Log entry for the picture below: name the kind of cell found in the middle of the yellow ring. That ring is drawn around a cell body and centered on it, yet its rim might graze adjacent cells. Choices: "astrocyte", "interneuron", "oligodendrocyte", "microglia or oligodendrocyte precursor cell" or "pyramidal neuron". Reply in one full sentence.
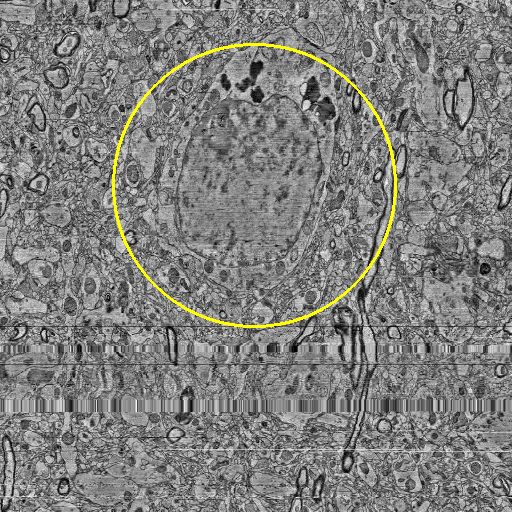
The cell in the middle of the yellow ring in this picture is an interneuron.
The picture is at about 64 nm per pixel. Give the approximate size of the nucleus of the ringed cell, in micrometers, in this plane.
In this plane, roughly 12 by 9 micrometres.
